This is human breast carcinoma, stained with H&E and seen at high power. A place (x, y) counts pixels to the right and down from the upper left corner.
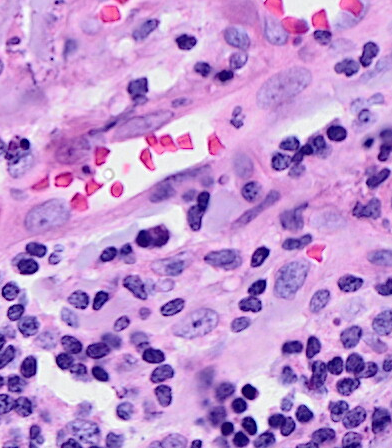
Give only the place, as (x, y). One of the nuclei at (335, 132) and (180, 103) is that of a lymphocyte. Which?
(335, 132)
